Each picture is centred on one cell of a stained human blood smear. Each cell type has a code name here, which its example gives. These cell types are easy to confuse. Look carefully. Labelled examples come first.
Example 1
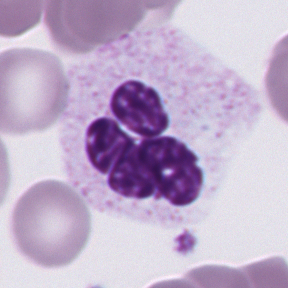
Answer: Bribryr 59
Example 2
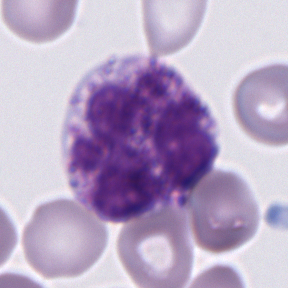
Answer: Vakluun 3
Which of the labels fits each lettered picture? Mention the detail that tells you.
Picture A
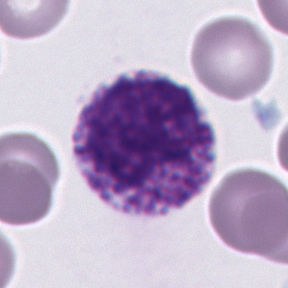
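Vakluun 3: The granules are coarse and uneven in size.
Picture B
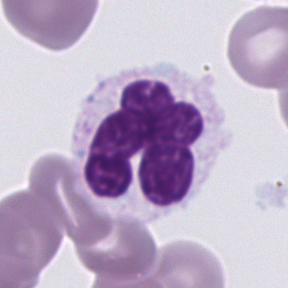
Bribryr 59: The cytoplasm holds fine, faint lilac granules.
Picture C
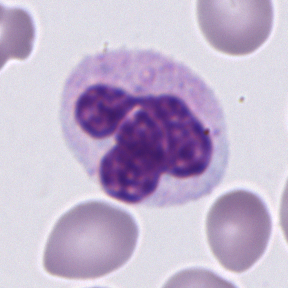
Bribryr 59: The cytoplasm holds faint, fine pinkish-lilac granules, most visible above the nucleus.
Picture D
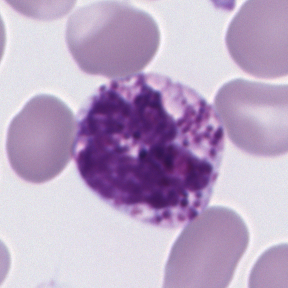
Vakluun 3: Coarse dark purple granules are scattered through the cytoplasm.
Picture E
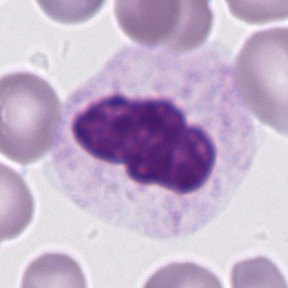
Bribryr 59: The cytoplasm is abundant and very pale lilac-grey.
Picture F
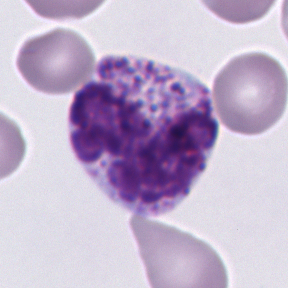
Vakluun 3: The cytoplasm holds scattered coarse dark blue-purple granules.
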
